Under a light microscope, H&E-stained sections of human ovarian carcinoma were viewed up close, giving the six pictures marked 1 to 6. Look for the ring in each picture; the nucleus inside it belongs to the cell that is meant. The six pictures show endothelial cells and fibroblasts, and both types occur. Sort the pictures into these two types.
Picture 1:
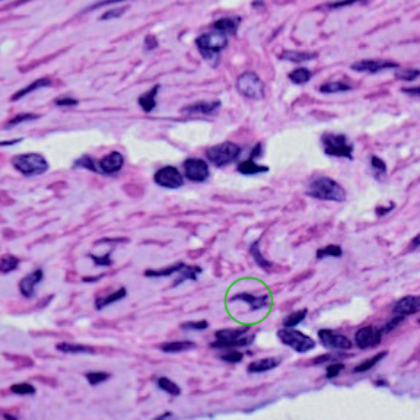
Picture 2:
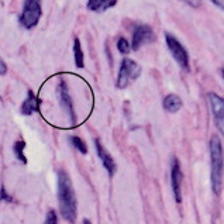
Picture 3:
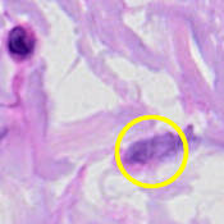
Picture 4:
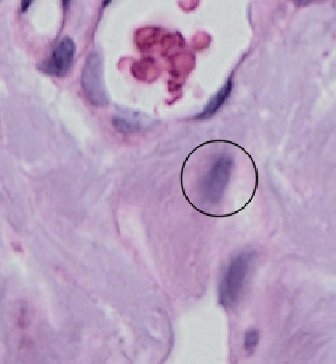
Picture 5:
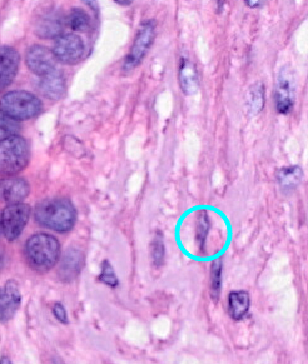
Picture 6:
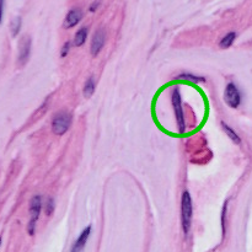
1: fibroblast
2: fibroblast
3: fibroblast
4: endothelial cell
5: fibroblast
6: endothelial cell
